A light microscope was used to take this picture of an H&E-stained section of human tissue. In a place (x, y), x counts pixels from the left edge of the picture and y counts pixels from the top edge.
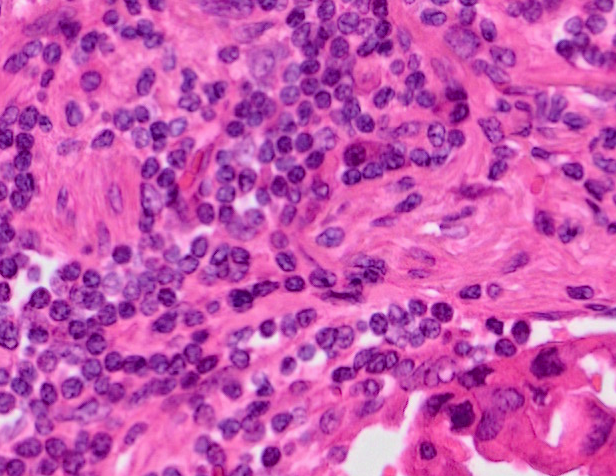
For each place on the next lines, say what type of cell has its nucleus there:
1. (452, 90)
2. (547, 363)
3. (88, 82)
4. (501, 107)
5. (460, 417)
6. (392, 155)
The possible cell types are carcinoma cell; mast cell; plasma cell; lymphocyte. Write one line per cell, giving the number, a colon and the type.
1: plasma cell
2: carcinoma cell
3: mast cell
4: lymphocyte
5: carcinoma cell
6: plasma cell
